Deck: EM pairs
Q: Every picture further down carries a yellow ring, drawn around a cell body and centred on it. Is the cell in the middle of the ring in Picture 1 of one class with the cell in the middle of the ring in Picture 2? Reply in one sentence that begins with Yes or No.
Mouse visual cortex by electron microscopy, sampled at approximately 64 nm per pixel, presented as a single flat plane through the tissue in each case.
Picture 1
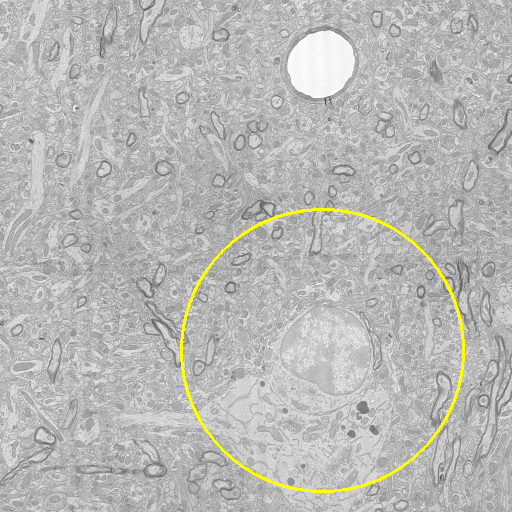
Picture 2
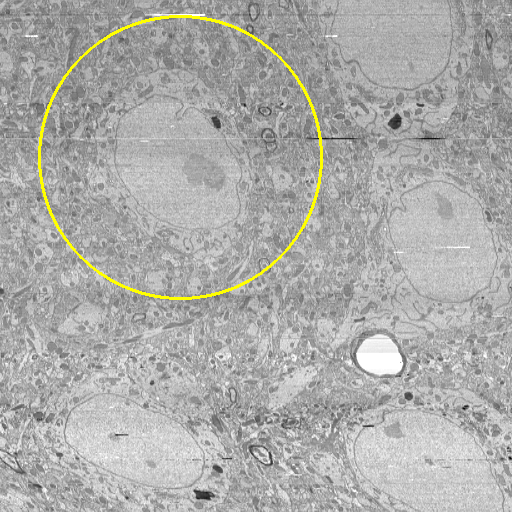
No, the cell centred in the ring of Picture 1 and the one in Picture 2 belong to separate classes.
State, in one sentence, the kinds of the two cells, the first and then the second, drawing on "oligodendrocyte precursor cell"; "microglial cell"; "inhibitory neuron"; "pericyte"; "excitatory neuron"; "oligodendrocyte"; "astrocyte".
The ring in the second picture is centred on an excitatory neuron, the ring in the first on an oligodendrocyte.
